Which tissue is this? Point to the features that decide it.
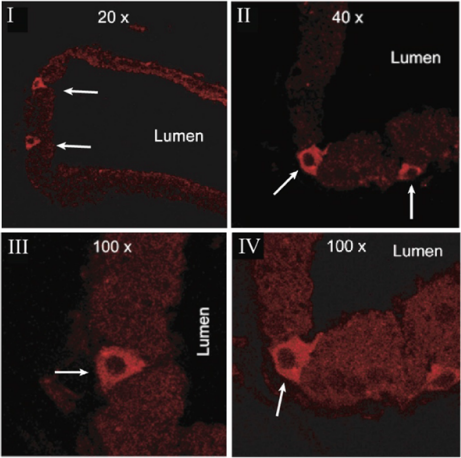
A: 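A continuous cellular layer lines a space labelled as lumen. On this evidence: epithelium.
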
